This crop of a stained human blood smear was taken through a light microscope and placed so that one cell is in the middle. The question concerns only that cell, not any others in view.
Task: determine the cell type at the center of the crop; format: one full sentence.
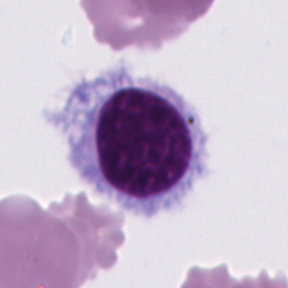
In the middle of this smear crop, the cell is a hairy cell.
